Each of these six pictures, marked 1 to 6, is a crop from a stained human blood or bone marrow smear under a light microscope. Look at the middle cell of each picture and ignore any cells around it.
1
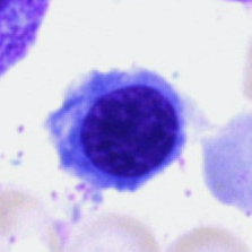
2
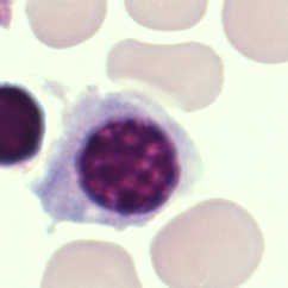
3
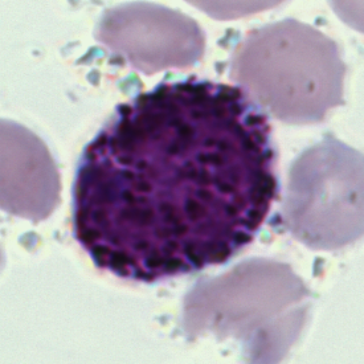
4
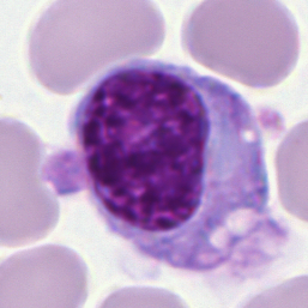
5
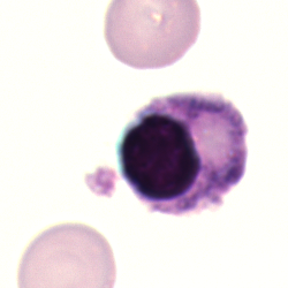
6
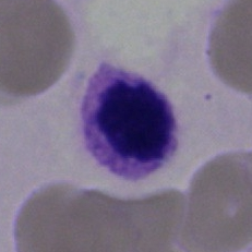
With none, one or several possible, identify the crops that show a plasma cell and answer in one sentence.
Shown in crop 4 and in no other crop is a plasma cell.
